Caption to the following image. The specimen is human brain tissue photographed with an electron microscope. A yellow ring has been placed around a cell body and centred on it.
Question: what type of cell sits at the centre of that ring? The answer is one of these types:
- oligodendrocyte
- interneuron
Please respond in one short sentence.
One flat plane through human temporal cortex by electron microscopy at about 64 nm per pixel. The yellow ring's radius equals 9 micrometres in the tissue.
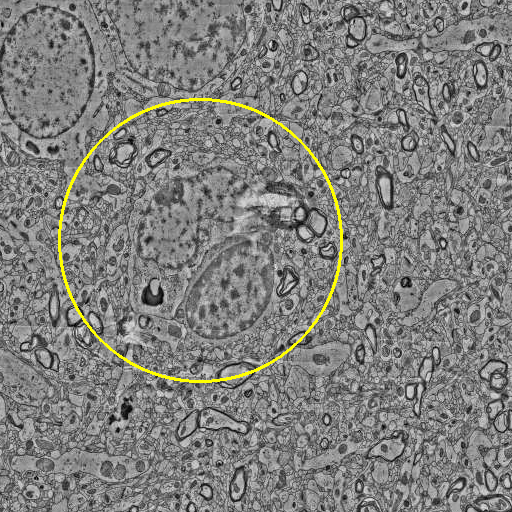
The ring surrounds the cell body of an interneuron.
